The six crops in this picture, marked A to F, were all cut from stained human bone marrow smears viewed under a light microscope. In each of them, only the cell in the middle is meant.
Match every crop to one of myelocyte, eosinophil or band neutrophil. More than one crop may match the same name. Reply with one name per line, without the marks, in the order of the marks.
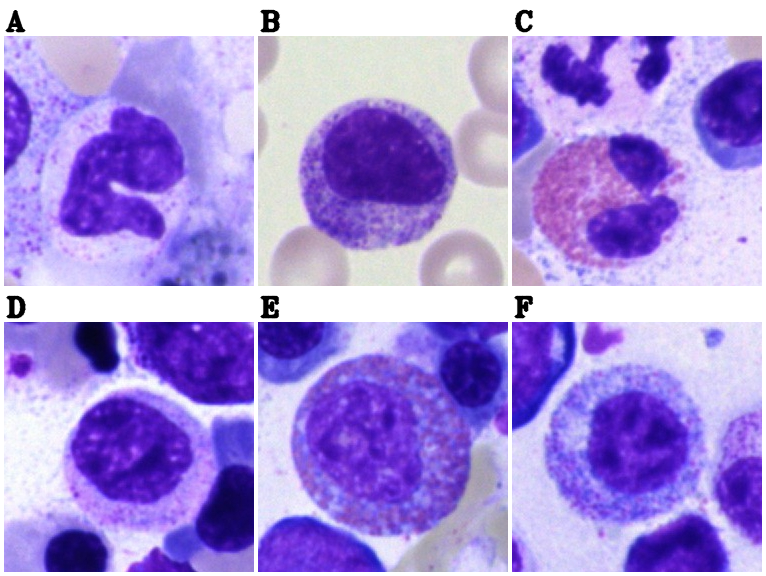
band neutrophil
myelocyte
eosinophil
myelocyte
myelocyte
myelocyte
